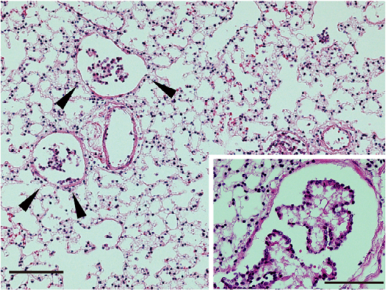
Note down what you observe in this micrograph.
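This is lung tissue with pale pink alveolar walls and many scattered dark purple nuclei throughout the network of air spaces. Round open spaces, marked by arrowheads, contain loose clusters of detached cells with dark nuclei. An airway and vessels with thin pink walls lie among the alveoli. The inset shows an airway whose epithelial lining is folded into the lumen, with darkly stained nuclei along its surface.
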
